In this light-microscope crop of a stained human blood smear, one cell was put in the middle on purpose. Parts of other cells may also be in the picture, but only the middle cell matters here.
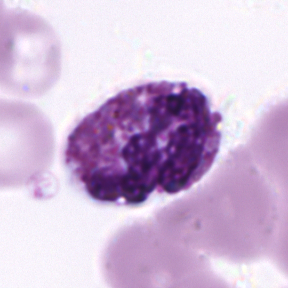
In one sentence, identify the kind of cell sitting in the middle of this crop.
The central cell, amid any neighbouring cells, is an eosinophil.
